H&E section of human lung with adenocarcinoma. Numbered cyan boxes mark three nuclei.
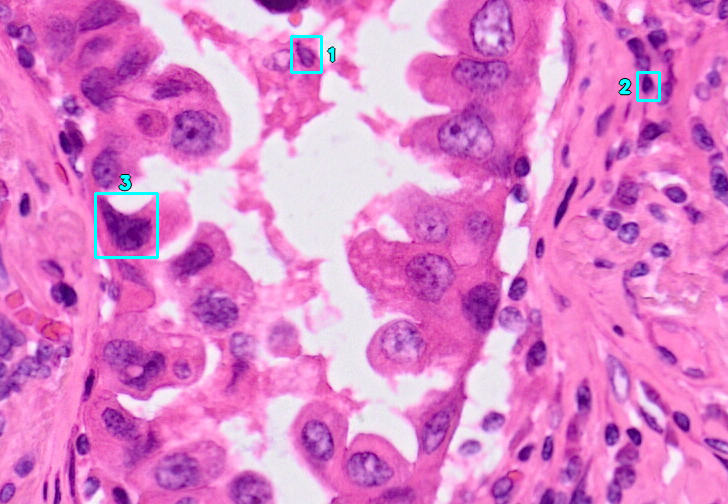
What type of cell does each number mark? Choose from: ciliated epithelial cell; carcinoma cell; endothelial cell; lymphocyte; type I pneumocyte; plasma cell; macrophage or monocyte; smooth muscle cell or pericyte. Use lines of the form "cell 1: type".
cell 1: macrophage or monocyte
cell 2: lymphocyte
cell 3: carcinoma cell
